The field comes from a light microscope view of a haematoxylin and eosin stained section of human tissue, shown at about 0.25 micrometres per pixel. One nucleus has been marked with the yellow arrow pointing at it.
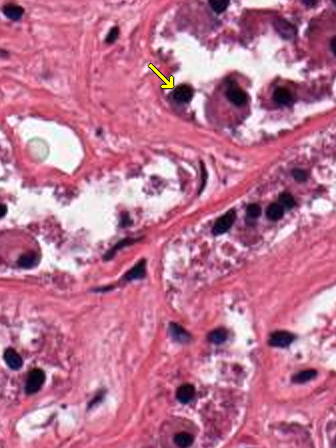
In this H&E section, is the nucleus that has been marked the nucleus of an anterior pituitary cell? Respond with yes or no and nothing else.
yes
